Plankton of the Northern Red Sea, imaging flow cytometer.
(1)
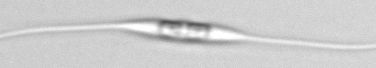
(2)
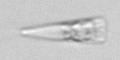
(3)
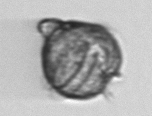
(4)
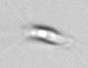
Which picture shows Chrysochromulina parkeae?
Picture 4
